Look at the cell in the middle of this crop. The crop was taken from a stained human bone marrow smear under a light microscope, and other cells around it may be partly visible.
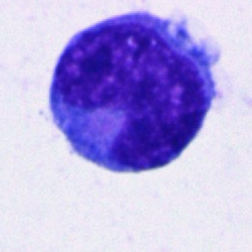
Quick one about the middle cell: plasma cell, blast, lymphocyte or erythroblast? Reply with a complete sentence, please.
The cell at the heart of this crop is a blast.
